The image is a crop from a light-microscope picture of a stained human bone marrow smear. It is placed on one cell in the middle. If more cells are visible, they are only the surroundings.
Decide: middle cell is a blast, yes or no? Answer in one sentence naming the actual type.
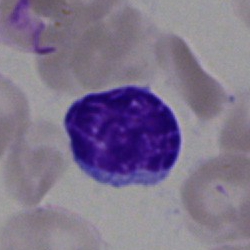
No, the central cell does not represent a blast, but a lymphocyte.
